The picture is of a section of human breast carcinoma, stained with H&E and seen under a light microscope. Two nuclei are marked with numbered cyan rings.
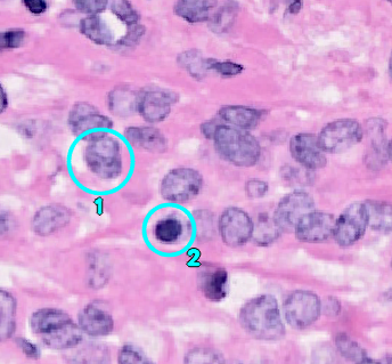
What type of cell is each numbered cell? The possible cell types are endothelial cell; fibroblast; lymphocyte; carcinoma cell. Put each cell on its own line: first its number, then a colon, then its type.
1: carcinoma cell
2: lymphocyte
